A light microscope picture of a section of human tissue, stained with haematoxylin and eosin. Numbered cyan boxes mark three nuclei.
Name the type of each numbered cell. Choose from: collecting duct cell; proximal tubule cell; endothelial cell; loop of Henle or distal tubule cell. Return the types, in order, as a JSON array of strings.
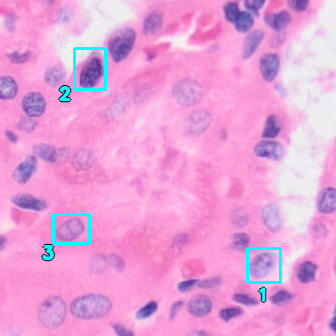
["loop of Henle or distal tubule cell", "loop of Henle or distal tubule cell", "proximal tubule cell"]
